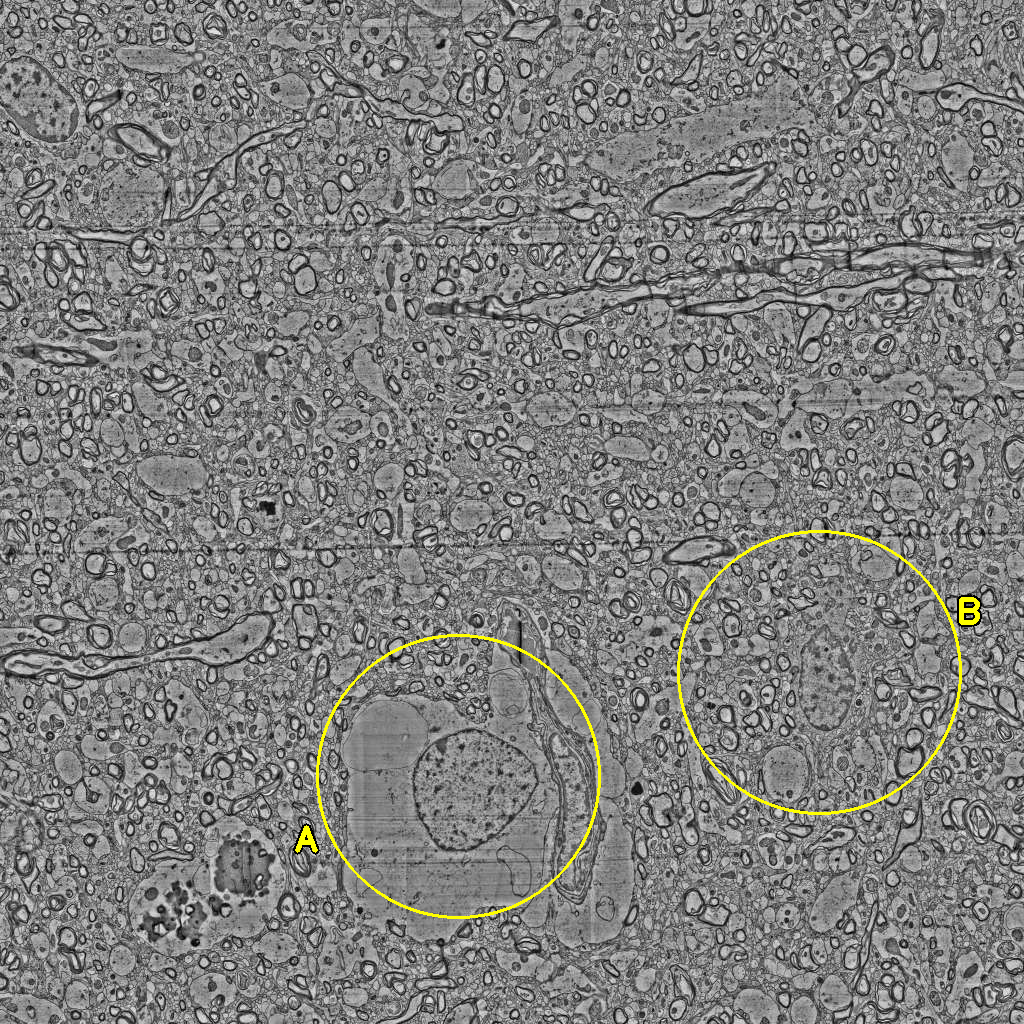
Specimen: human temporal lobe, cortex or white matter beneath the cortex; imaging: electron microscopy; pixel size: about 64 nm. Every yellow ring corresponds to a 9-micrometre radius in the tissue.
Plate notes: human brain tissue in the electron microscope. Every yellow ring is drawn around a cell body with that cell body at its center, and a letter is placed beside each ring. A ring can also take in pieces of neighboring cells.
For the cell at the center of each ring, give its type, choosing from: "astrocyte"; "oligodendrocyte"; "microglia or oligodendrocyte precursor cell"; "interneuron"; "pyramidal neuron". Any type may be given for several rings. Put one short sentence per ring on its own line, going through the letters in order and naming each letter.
Ring A shows an astrocyte at the center.
Ring B shows an oligodendrocyte at the center.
